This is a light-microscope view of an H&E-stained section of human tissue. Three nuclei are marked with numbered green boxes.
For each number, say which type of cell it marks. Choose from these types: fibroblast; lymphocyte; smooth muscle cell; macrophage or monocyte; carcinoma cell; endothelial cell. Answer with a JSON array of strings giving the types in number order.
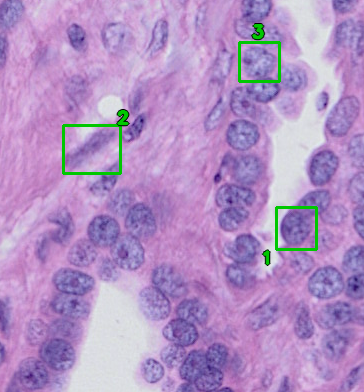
["carcinoma cell", "fibroblast", "carcinoma cell"]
